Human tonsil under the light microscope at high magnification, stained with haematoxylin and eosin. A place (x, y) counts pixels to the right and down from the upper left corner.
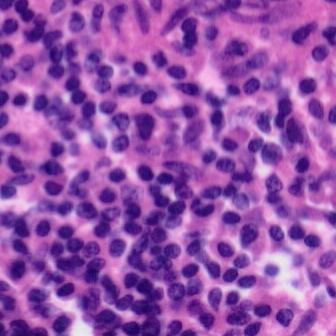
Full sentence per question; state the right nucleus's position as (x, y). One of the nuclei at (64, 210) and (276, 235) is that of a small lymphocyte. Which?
Which one belongs to a small lymphocyte? The nucleus at (64, 210) does.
